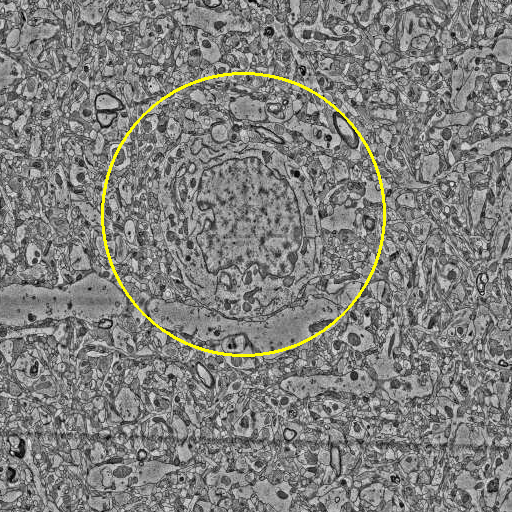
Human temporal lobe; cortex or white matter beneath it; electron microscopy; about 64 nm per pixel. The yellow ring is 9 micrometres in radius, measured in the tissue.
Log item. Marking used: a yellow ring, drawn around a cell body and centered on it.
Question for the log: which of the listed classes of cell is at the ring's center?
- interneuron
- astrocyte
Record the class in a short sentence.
At the center of the ring lies an interneuron.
